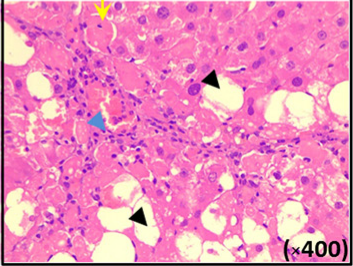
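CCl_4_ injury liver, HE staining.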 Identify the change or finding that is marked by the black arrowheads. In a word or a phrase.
vacuolated cells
